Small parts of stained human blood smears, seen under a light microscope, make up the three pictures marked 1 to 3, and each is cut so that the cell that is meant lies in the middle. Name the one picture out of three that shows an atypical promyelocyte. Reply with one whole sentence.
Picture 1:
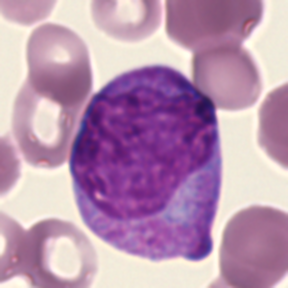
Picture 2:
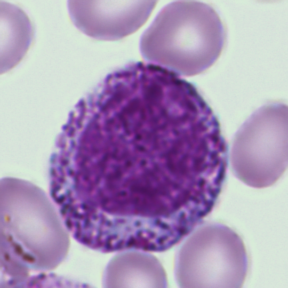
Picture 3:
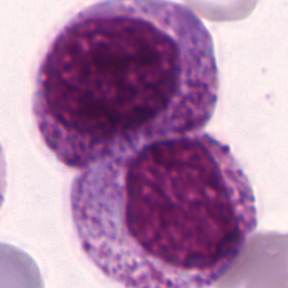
The picture with the atypical promyelocyte is 1.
